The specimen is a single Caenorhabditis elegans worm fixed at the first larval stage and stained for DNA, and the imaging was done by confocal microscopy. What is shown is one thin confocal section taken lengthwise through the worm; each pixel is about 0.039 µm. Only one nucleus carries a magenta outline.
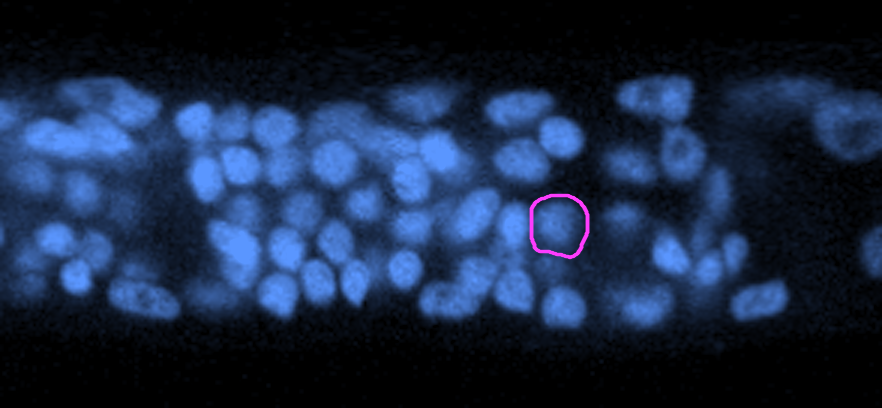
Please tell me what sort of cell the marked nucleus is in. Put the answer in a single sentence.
What is marked is the nucleus of a pharyngeal muscle cell.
